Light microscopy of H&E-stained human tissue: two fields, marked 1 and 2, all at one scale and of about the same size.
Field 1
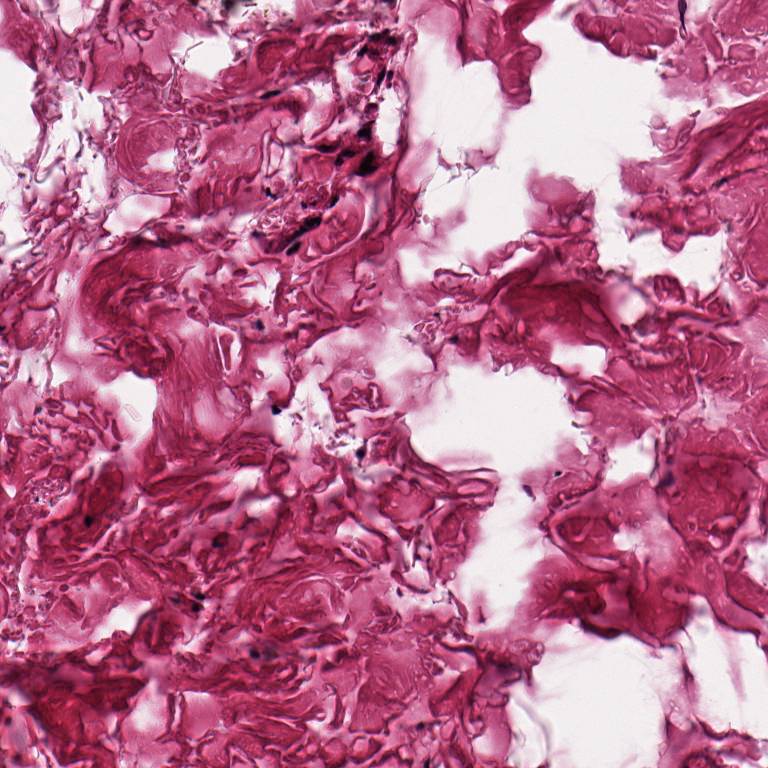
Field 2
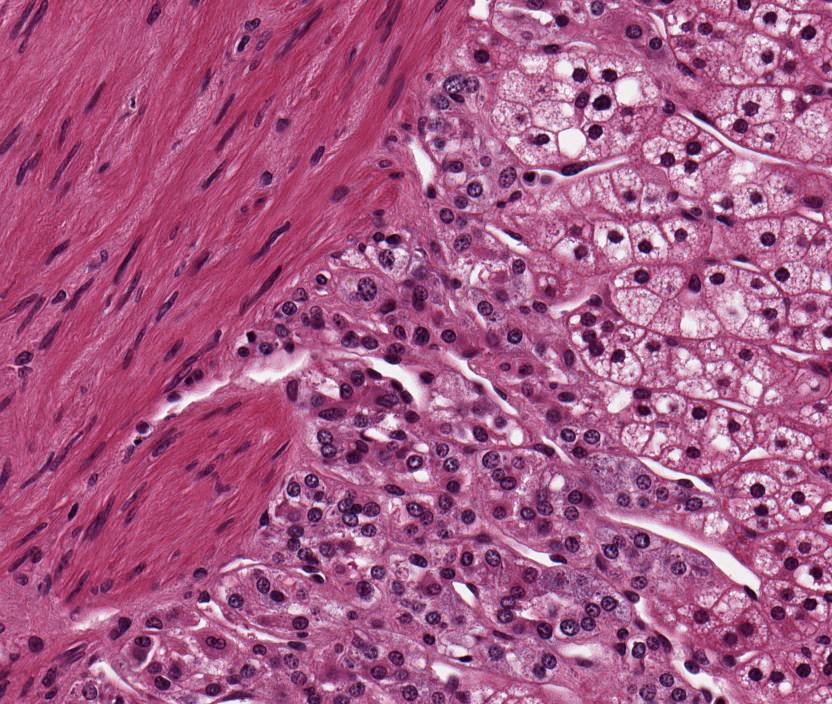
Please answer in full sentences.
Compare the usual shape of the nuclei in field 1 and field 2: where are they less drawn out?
It is field 2 whose nuclei are the rounder.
